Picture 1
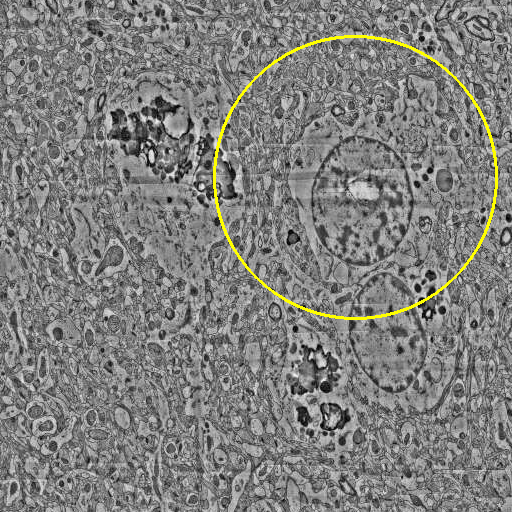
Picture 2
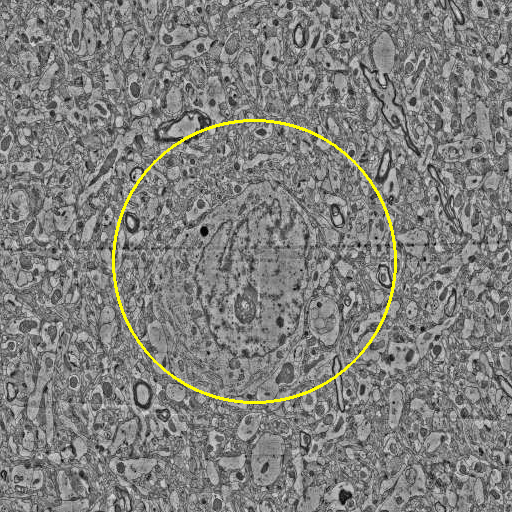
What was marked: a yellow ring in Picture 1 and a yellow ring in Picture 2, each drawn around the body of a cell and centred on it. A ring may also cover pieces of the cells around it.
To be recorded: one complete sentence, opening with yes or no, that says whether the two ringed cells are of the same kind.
No, the two ringed cells are of two kinds.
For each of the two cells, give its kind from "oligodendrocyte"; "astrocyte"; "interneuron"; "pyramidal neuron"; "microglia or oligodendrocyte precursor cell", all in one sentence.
The first picture has an astrocyte in its ring, the second has an interneuron.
